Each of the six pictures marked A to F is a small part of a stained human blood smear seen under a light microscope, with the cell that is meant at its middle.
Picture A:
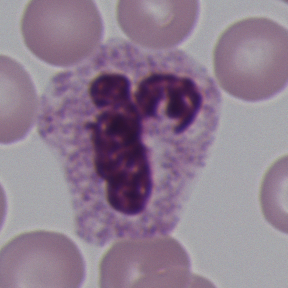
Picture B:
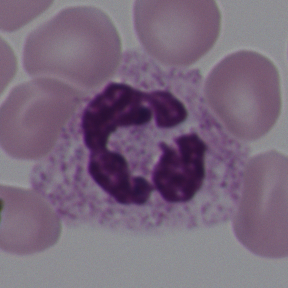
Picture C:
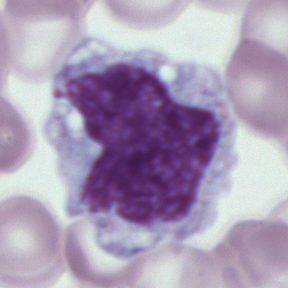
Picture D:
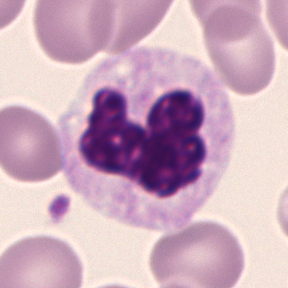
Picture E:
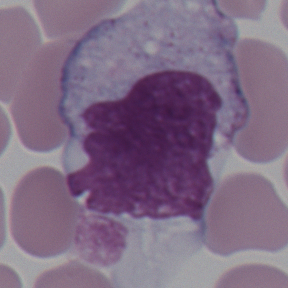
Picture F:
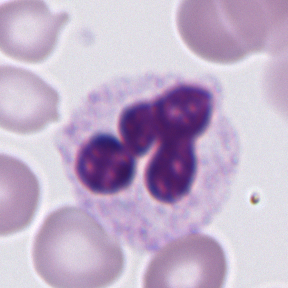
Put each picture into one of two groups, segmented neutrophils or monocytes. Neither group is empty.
A: segmented neutrophil
B: segmented neutrophil
C: monocyte
D: segmented neutrophil
E: monocyte
F: segmented neutrophil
